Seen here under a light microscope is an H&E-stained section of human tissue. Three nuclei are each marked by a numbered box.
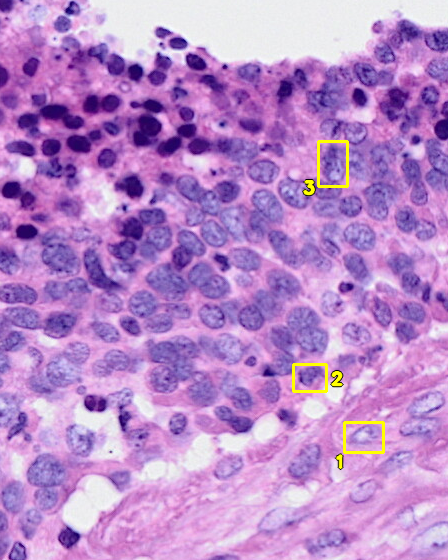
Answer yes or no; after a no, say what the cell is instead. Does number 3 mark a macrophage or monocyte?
No, it is a carcinoma cell.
